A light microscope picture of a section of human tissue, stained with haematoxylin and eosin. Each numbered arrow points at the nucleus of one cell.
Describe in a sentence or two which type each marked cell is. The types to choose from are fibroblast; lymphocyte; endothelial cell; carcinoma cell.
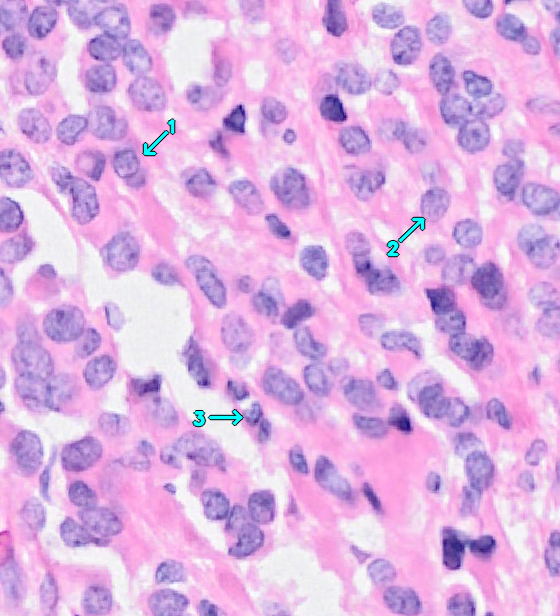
Cells 1 and 2 are carcinoma cells. Cell 3 is an endothelial cell.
